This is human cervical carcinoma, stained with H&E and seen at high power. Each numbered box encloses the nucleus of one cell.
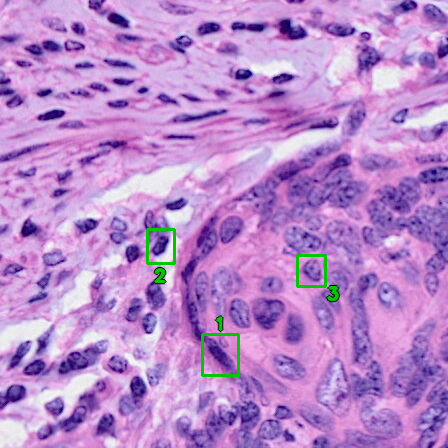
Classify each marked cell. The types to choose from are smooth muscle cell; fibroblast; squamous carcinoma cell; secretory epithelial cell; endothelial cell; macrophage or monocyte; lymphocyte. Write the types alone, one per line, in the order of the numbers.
squamous carcinoma cell
lymphocyte
squamous carcinoma cell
